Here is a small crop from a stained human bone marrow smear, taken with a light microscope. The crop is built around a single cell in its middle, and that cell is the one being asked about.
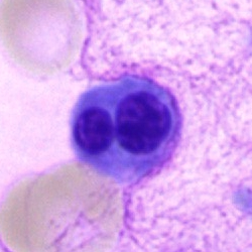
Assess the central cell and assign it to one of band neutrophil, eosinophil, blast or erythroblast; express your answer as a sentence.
The cell at the centre of the field is an erythroblast.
